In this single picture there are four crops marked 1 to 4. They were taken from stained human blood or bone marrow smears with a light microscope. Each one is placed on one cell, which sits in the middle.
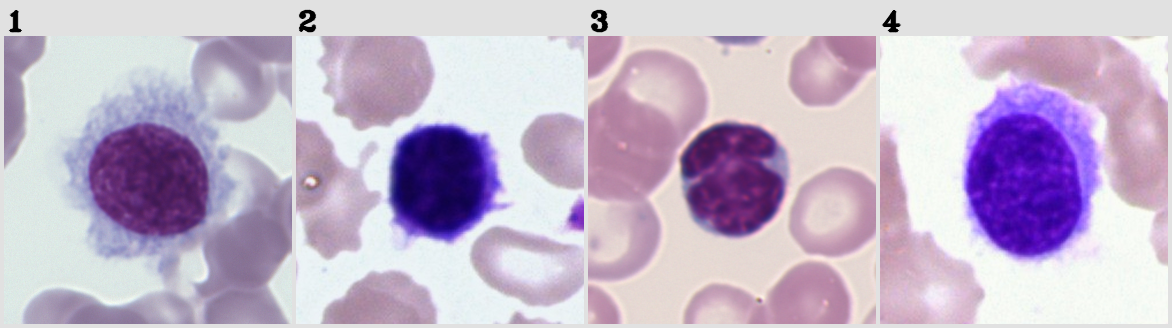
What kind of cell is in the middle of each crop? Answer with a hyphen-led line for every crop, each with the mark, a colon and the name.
- 1: hairy cell
- 2: lymphocyte
- 3: lymphocyte
- 4: hairy cell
